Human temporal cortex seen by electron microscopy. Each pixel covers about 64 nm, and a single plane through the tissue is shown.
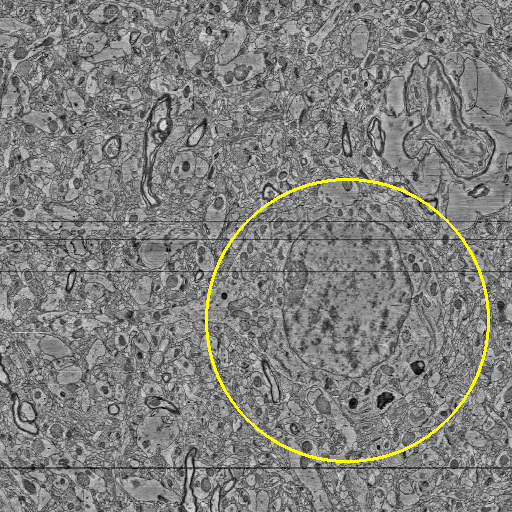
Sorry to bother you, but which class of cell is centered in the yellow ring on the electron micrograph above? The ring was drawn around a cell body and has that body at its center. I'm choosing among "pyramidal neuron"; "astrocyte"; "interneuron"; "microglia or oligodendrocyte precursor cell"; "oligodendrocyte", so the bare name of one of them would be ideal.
interneuron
